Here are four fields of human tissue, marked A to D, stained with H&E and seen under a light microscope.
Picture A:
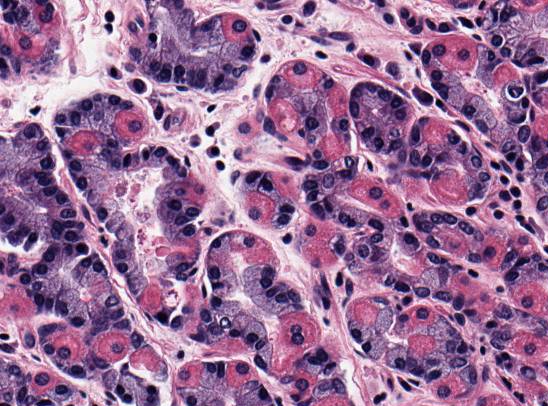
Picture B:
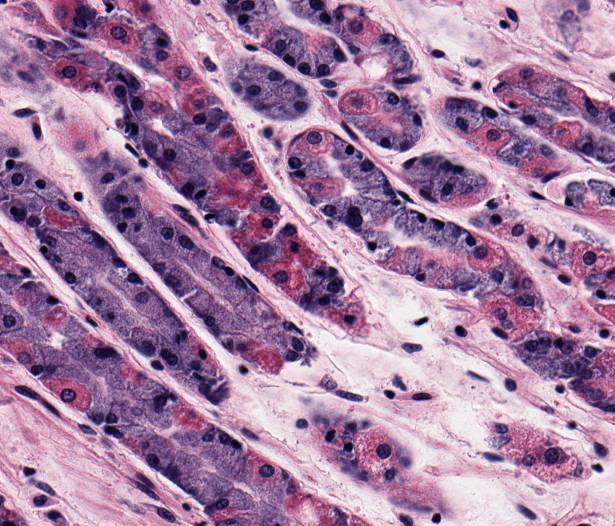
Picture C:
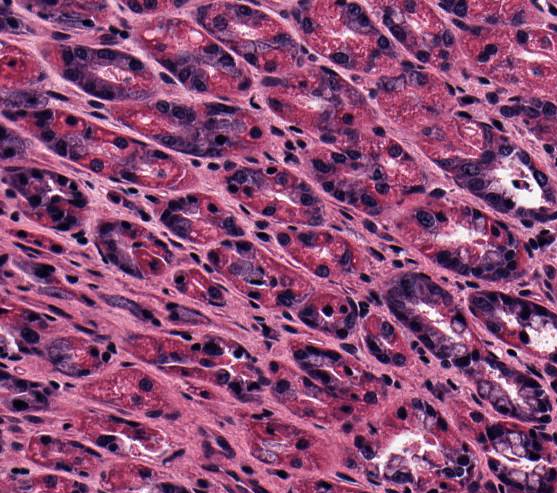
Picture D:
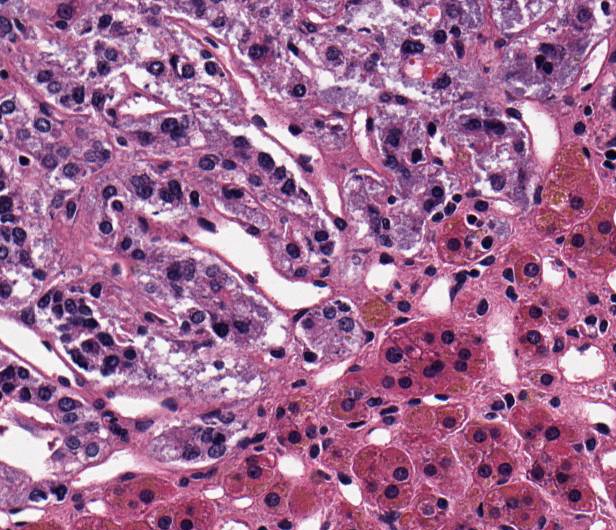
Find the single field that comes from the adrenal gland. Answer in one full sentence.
It is picture D that comes from the adrenal gland.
